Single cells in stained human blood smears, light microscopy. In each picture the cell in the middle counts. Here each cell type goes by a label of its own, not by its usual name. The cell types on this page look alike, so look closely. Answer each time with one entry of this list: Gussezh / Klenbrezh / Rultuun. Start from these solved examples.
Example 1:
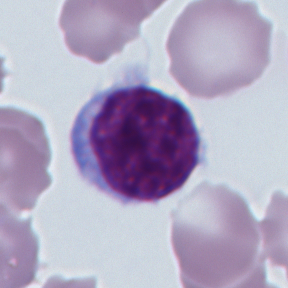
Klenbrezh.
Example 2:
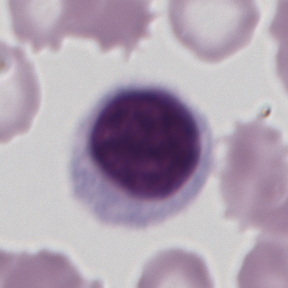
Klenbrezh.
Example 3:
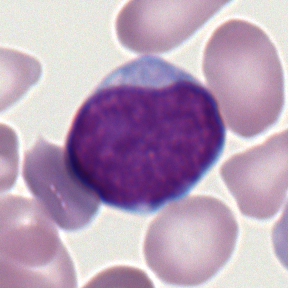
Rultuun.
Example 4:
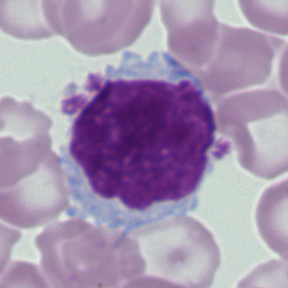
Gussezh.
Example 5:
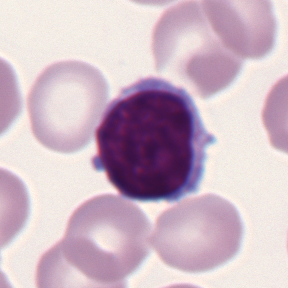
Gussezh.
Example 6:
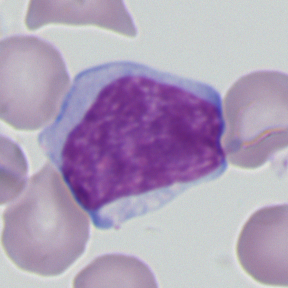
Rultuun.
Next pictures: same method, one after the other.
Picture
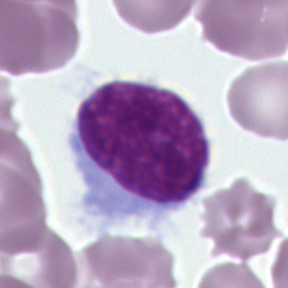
Klenbrezh.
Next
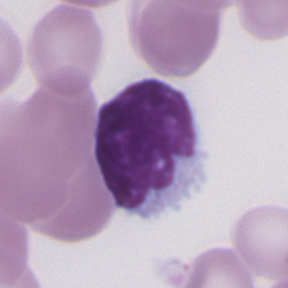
Gussezh.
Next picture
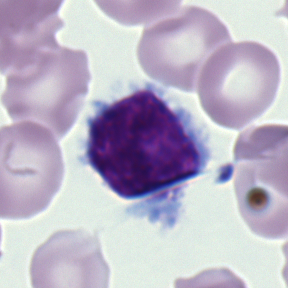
Klenbrezh.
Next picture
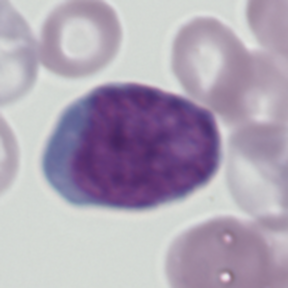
Rultuun.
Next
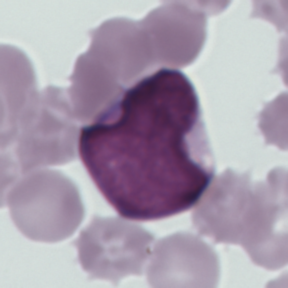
Rultuun.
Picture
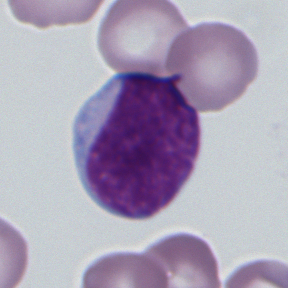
Rultuun.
